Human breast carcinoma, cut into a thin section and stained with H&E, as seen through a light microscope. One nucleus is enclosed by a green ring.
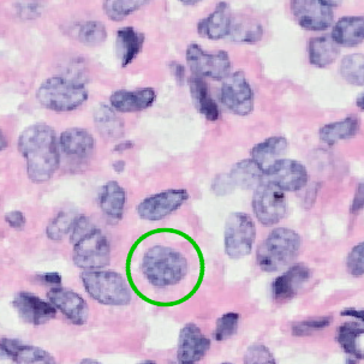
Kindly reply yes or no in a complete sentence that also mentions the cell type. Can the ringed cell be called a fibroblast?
No, mark the ringed cell as a carcinoma cell, not as a fibroblast.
